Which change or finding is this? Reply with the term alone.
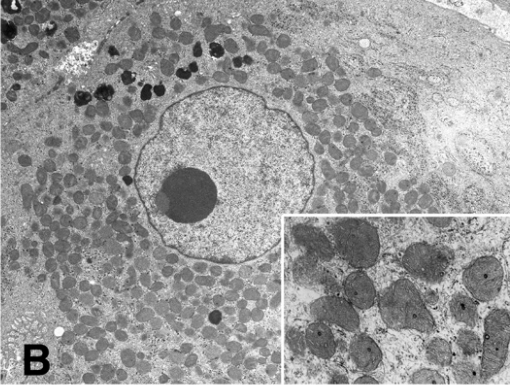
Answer: Numerical excess of mitochondria.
